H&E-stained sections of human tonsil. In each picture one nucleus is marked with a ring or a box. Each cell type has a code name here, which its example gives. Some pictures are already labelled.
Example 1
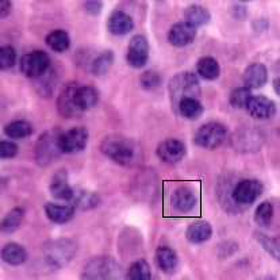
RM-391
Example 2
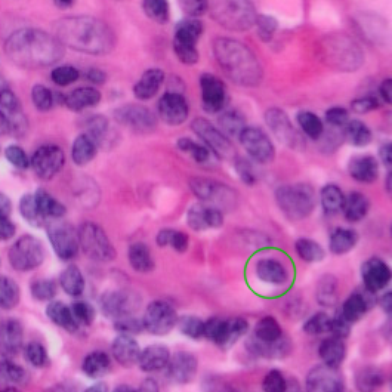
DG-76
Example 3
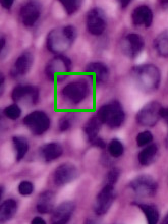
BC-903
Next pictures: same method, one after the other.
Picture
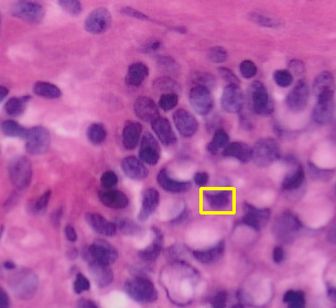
BC-903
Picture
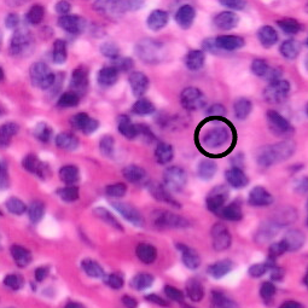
RM-391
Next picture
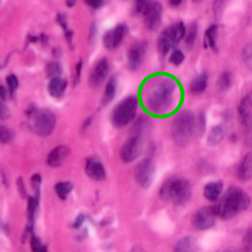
BC-903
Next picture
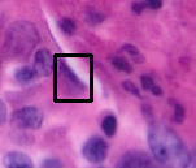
BC-903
